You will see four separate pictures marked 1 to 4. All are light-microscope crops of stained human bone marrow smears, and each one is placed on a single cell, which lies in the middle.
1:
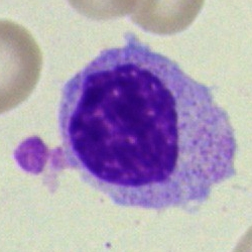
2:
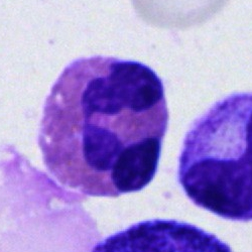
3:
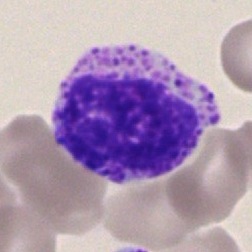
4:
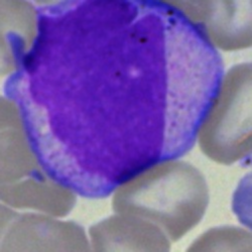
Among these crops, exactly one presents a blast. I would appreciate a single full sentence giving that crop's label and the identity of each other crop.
The crop labelled 4 shows a blast, whereas crop 1 is a myelocyte, crop 2 is an eosinophil and crop 3 is a basophil.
